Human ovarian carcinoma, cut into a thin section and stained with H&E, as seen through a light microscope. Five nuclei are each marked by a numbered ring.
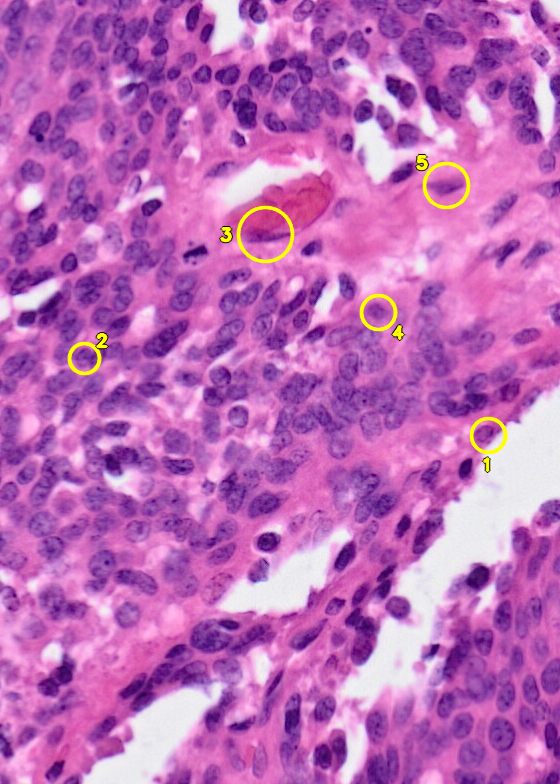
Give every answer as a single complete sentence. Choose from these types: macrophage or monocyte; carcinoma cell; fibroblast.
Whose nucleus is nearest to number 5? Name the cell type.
The cell nearest to number 5 is a macrophage or monocyte.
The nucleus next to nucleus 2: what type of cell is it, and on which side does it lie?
Lying to the right of nucleus 2, the nearest nucleus is that of a carcinoma cell.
